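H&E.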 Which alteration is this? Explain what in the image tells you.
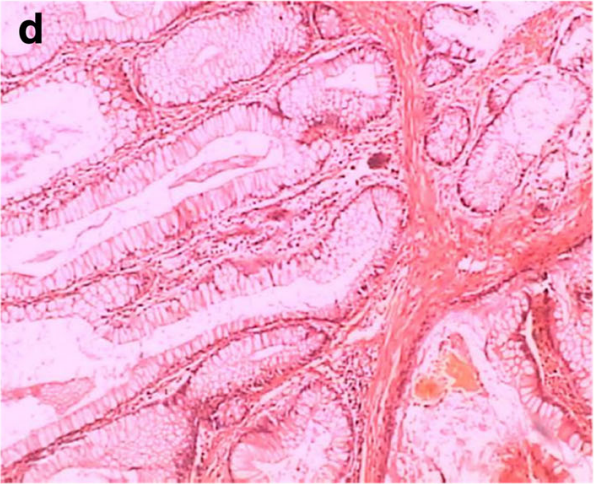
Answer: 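Elongated, branching glands lined by tall columnar mucin-filled cells. Glands are divided into groups by branching pink bands of smooth muscle. Lining cells have small basal nuclei without marked crowding.
Answer: hamartomatous polyp of the Peutz-Jeghers type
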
